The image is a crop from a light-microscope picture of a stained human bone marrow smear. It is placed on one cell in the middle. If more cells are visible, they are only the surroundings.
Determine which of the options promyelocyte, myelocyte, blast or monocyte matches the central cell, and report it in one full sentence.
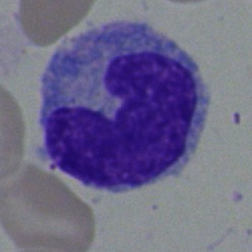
The centrally positioned cell in the crop represents a monocyte.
